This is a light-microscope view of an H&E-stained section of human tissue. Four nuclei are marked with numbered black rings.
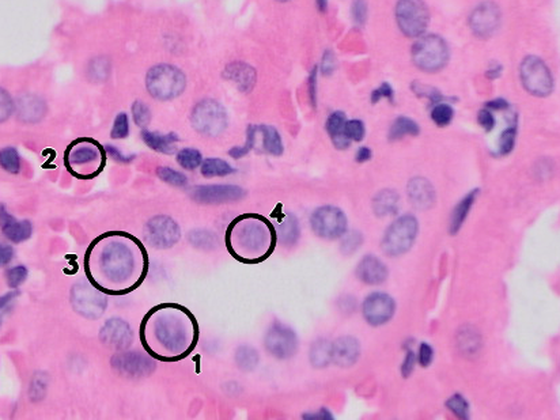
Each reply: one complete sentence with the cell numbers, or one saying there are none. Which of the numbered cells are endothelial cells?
Just the cell marked 2 is an endothelial cell; none of the other marked cells is.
